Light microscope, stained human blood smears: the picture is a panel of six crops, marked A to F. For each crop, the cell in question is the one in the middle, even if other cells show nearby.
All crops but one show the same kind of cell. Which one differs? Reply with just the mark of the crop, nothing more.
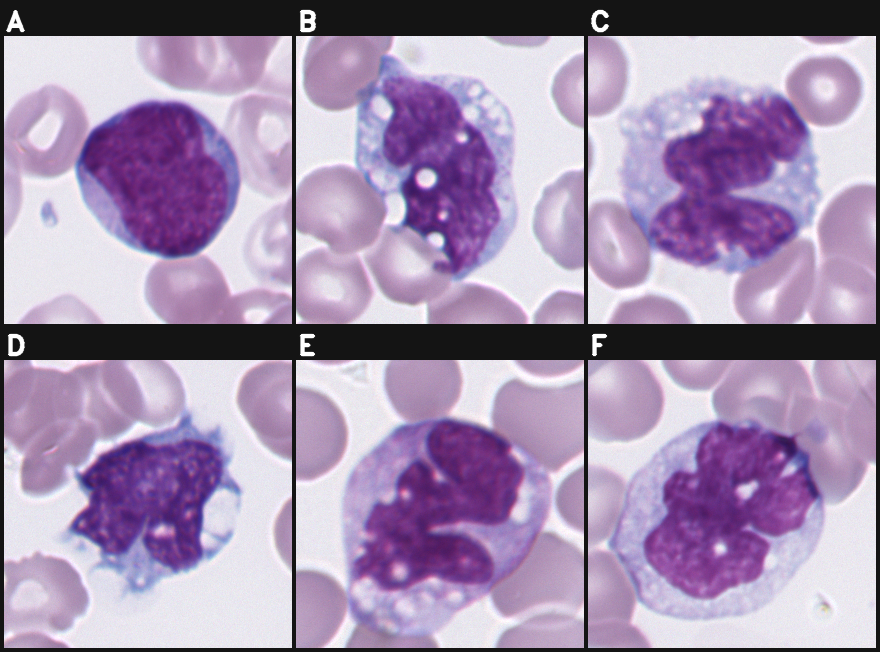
A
